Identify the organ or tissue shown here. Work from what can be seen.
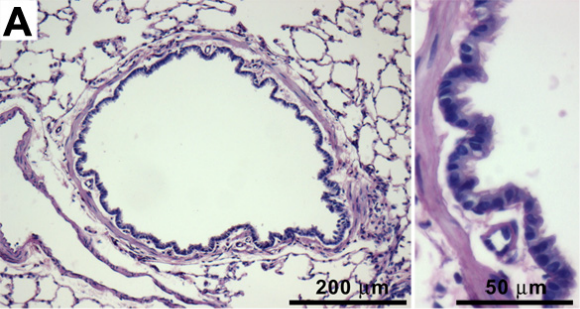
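A single layer of cuboidal to columnar cells with blue nuclei lines a round airway. The airway is surrounded by thin-walled alveolar spaces. So: bronchiolar epithelium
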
